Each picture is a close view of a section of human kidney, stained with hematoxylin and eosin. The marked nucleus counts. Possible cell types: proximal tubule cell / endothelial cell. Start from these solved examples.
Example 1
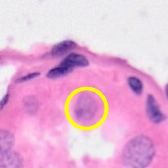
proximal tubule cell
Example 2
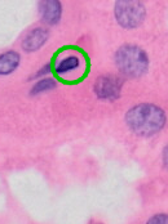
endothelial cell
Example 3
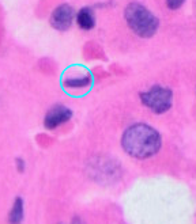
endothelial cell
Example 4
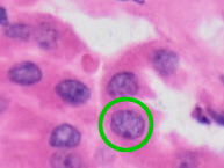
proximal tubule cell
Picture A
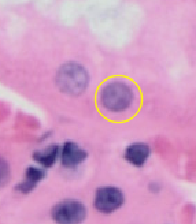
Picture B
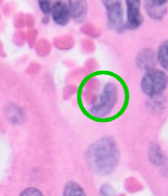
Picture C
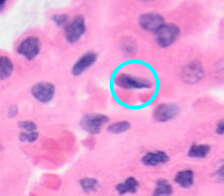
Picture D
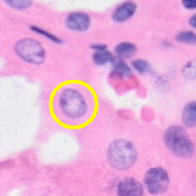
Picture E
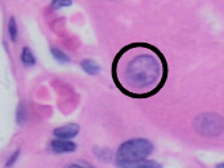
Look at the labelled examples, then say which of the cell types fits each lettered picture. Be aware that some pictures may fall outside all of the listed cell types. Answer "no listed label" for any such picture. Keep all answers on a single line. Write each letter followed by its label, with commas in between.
A proximal tubule cell, B endothelial cell, C endothelial cell, D proximal tubule cell, E proximal tubule cell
